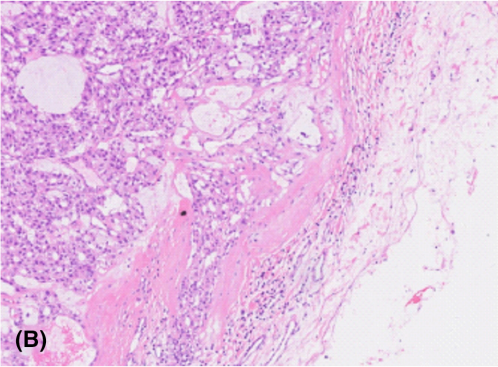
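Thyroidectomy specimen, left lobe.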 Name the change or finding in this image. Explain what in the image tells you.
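A band of dense pink fibrous capsule runs across the field. Nests of tumour cells lie within and across the fibrous band.
Conclusion: capsular infiltration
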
